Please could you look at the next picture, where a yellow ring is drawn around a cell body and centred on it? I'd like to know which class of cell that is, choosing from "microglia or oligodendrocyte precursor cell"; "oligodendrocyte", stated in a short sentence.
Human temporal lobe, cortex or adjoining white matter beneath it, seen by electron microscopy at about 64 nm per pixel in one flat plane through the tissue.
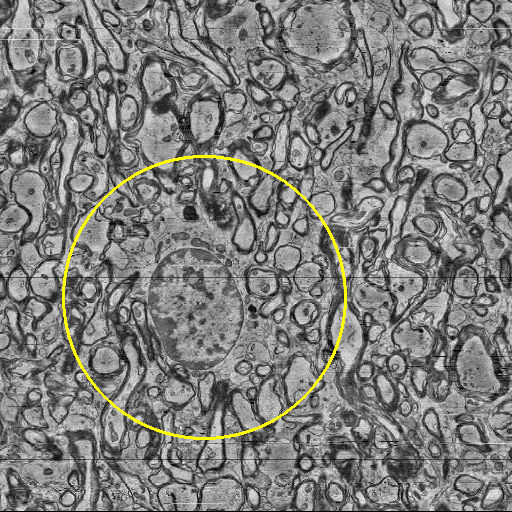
The ring's centre lies on a microglial cell or oligodendrocyte precursor cell.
